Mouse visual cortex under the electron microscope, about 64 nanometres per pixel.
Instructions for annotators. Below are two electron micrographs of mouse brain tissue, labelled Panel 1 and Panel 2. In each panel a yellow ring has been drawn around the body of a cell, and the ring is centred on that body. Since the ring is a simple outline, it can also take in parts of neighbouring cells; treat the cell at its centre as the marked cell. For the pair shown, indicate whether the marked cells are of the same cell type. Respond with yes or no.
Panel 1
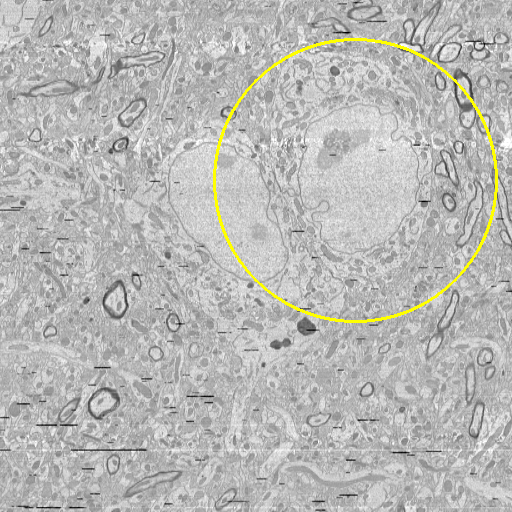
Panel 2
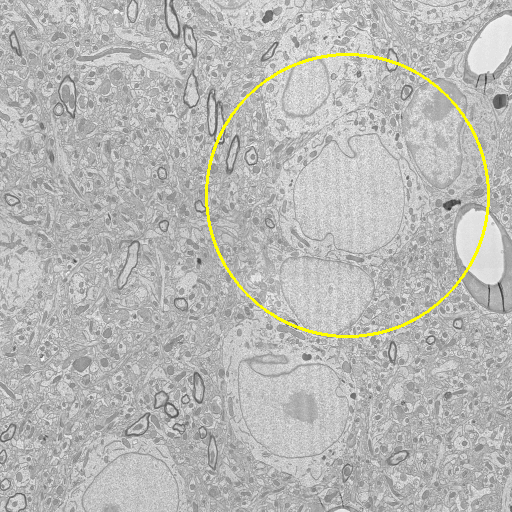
no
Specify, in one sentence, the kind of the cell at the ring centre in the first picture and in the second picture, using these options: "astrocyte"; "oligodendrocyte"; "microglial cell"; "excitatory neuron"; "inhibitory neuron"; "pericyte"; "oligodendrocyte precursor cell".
So the first is an inhibitory neuron, the second an excitatory neuron.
